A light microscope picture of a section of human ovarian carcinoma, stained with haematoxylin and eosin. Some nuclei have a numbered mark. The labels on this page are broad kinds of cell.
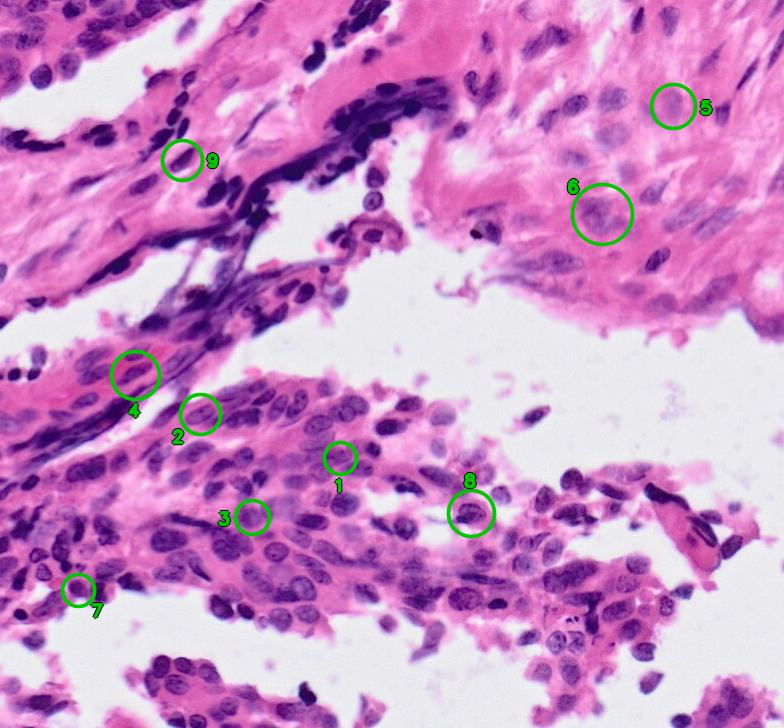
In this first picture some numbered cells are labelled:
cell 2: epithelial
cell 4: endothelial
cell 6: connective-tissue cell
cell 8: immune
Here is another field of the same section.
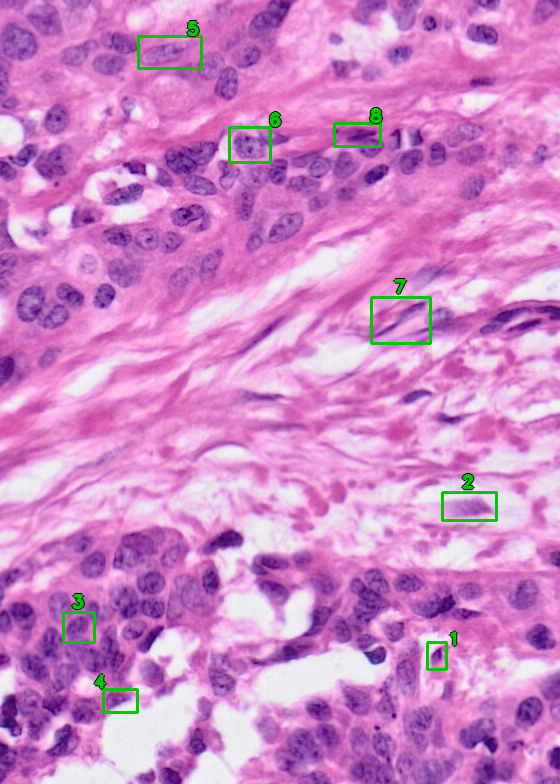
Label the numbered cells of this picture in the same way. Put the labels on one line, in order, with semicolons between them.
epithelial; connective-tissue cell; epithelial; epithelial; endothelial; immune; connective-tissue cell; epithelial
